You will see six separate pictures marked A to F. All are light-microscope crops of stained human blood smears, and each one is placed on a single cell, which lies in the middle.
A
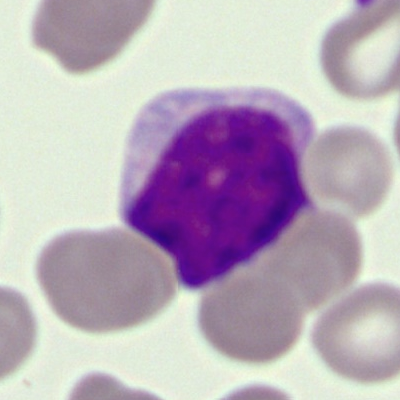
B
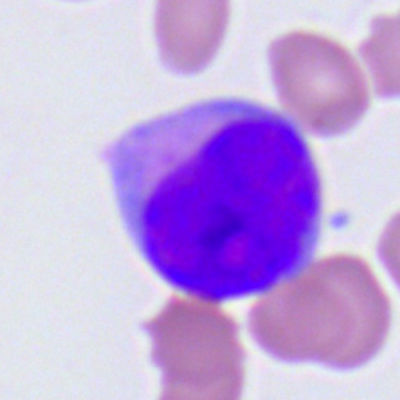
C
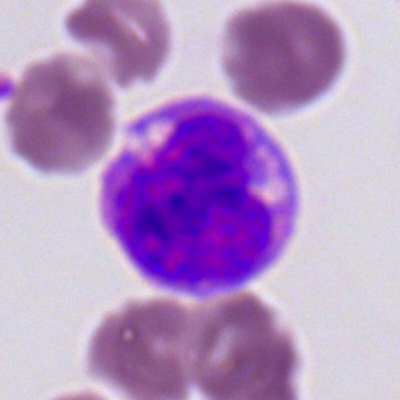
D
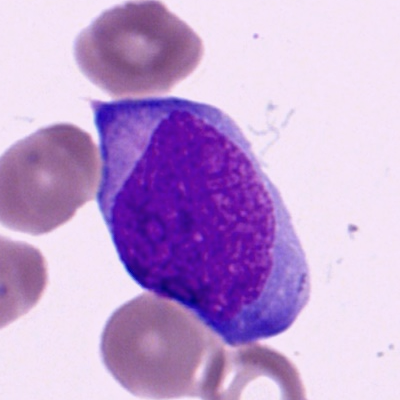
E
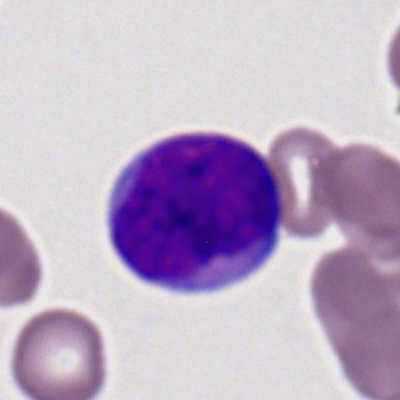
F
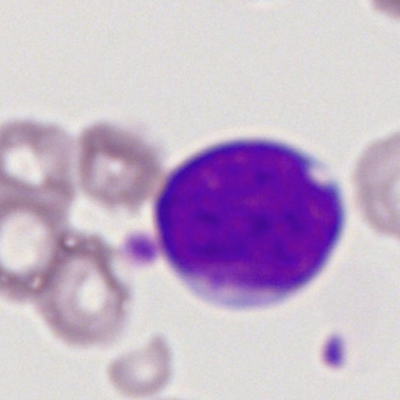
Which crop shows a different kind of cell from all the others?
C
